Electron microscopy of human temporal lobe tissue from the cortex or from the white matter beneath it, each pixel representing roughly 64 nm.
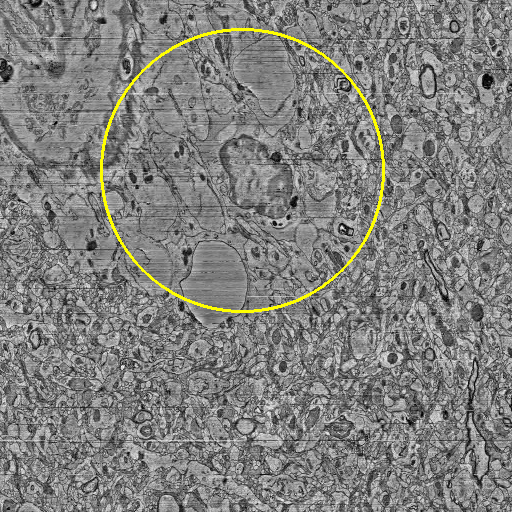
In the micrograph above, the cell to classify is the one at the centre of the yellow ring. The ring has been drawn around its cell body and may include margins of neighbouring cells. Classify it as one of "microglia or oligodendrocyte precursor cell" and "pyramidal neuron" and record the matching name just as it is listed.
microglia or oligodendrocyte precursor cell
